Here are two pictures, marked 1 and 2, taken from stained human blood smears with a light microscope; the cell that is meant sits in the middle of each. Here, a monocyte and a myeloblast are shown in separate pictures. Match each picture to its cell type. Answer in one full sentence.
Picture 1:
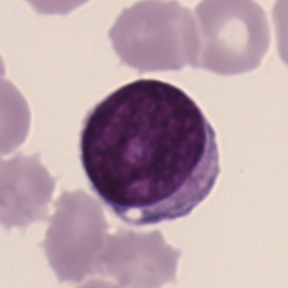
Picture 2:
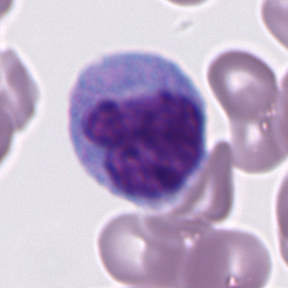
In picture 1 the cell is a myeloblast; in picture 2, a monocyte.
